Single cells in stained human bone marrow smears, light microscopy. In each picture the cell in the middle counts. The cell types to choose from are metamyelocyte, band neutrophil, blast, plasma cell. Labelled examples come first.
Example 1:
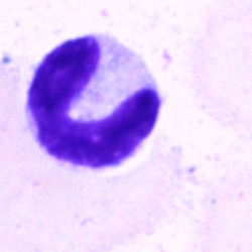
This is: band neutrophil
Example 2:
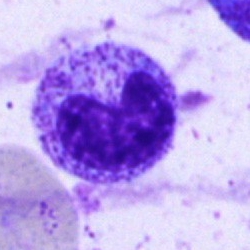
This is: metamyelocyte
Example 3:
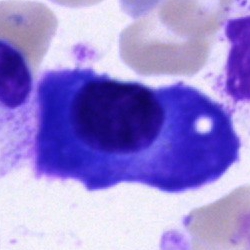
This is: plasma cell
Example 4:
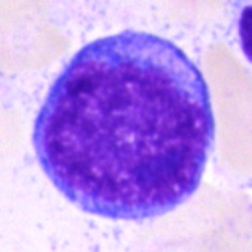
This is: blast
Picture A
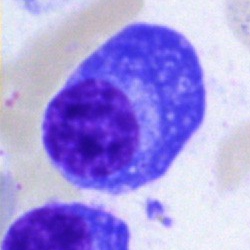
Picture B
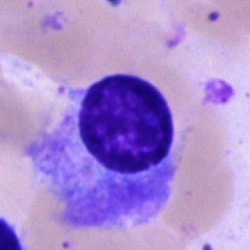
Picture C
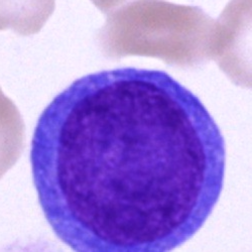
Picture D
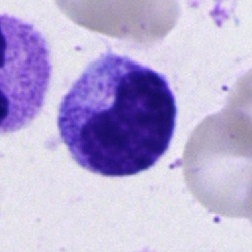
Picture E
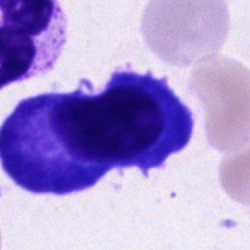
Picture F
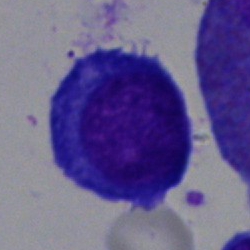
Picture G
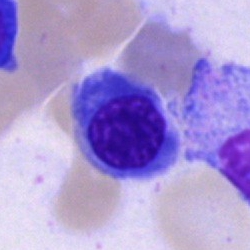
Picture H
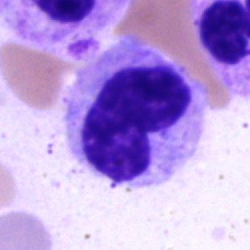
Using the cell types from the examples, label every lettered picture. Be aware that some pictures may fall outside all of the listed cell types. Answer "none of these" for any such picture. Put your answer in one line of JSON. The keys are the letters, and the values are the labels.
{"A": "plasma cell", "B": "plasma cell", "C": "blast", "D": "metamyelocyte", "E": "plasma cell", "F": "plasma cell", "G": "none of these", "H": "metamyelocyte"}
